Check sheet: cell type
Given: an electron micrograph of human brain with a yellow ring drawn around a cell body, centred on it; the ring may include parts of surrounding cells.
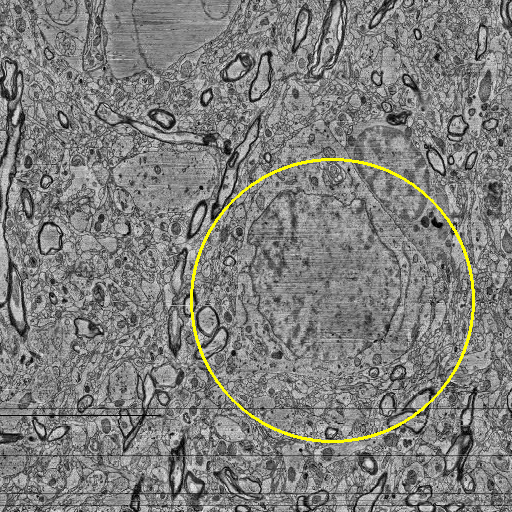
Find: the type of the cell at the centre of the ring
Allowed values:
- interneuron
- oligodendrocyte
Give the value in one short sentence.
Here the ringed cell is an interneuron.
